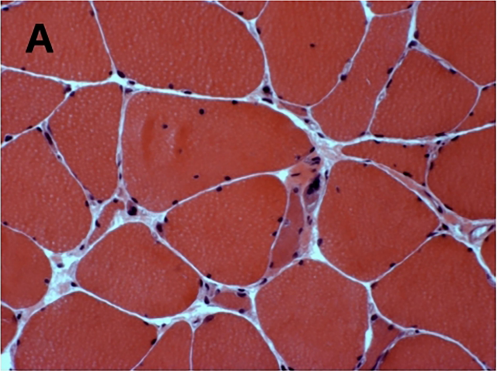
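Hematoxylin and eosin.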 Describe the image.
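This transverse section of skeletal muscle shows polygonal to rounded muscle fibers with pink cytoplasm and dark purple nuclei. The fibers vary markedly in size, with small angular fibers lying among much larger rounded ones. Most nuclei sit at the periphery beneath the fiber surface, but some lie within the fiber interior. Thin pale strands of connective tissue separate the fibers, widening where small fibers cluster.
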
